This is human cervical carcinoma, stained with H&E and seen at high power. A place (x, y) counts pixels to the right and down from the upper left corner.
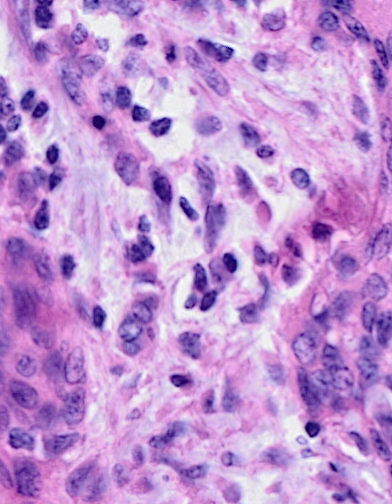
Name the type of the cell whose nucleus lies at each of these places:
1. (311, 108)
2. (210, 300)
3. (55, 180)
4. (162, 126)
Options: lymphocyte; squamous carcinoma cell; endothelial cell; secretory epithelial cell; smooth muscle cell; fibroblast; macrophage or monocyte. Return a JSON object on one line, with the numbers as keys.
{"1": "fibroblast", "2": "lymphocyte", "3": "lymphocyte", "4": "lymphocyte"}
